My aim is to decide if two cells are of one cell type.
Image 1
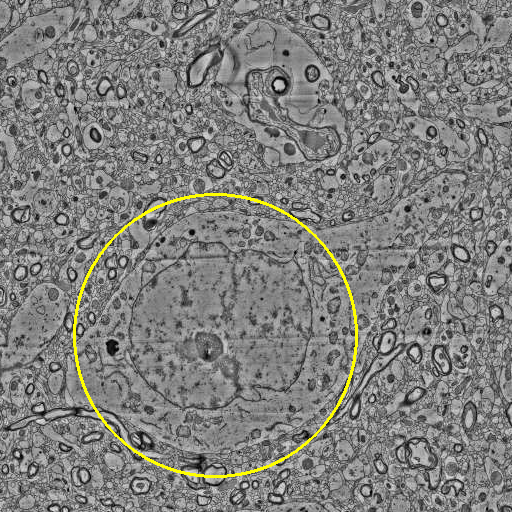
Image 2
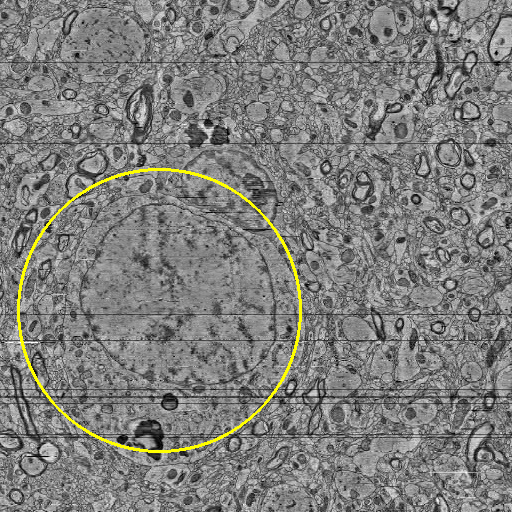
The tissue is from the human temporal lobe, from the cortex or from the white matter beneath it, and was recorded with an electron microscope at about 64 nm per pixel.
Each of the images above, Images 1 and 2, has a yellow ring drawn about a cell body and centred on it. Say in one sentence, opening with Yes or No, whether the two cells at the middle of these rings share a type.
Yes, in Images 1 and 2 the cells at the middle of the rings share one type.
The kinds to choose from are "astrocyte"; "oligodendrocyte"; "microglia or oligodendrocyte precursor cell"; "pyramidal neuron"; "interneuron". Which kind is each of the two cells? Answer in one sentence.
Each of the two pictures has a pyramidal neuron at the ring centre.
